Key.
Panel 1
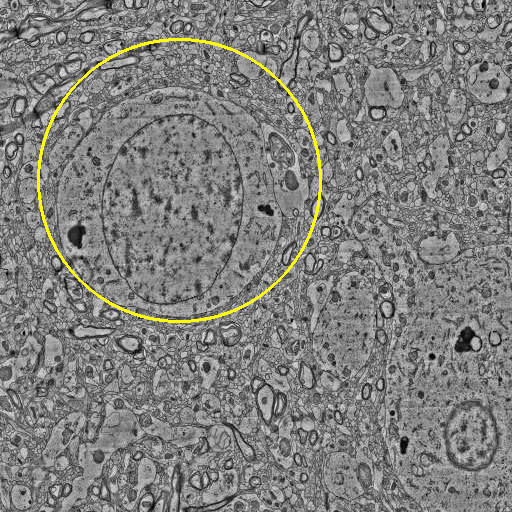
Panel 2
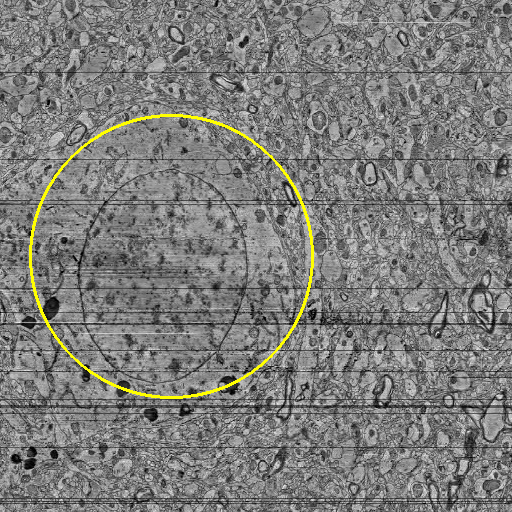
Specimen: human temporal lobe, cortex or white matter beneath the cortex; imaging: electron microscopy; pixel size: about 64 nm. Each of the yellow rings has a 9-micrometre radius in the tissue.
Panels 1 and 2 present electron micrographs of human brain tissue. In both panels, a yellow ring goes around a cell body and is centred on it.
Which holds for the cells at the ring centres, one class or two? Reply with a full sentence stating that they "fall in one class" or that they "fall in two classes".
Taken together, the ring-centre cells of the two panels fall in one class.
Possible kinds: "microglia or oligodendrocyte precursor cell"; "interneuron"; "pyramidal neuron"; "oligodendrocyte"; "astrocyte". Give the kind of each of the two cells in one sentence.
In each of the two pictures, the ringed cell is a pyramidal neuron.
